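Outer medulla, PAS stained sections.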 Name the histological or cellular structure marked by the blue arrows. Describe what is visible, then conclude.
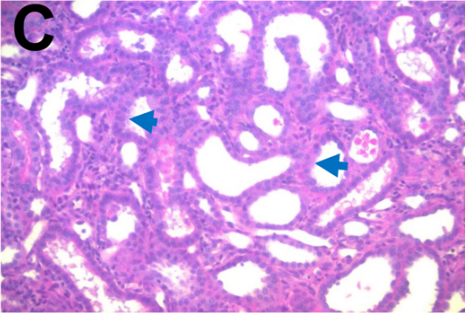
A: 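The arrows point at tubules with irregular, open lumens. The tubules are lined by a continuous layer of crowded cells with dark nuclei.
Answer: regenerating tubules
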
